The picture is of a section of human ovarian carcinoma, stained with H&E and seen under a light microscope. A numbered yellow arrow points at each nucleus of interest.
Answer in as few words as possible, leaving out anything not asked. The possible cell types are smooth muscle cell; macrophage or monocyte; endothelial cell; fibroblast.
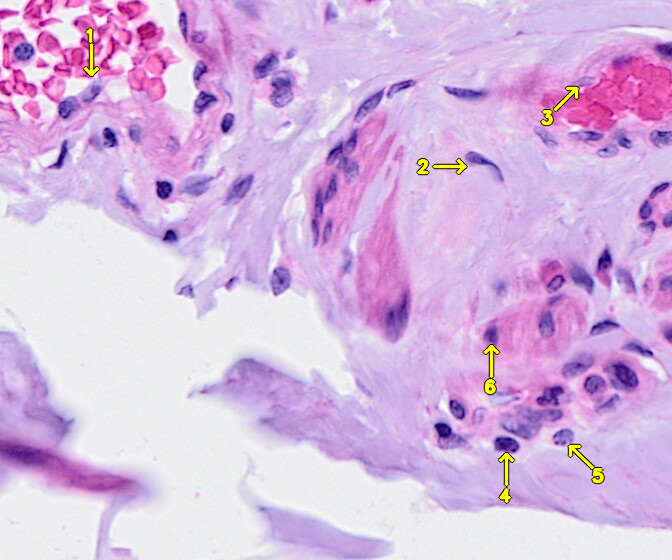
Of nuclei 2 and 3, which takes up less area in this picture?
3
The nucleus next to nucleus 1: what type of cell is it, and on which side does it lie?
an endothelial cell below and to the left of nucleus 1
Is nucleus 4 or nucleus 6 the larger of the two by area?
4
